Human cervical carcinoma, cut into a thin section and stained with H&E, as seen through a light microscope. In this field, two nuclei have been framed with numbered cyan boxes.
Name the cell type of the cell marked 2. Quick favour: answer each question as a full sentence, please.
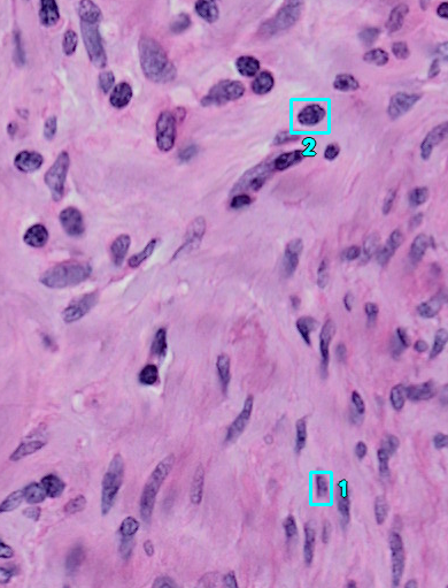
At number 2, the marked cell is a lymphocyte.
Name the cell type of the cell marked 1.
The cell numbered 1 represents a fibroblast.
